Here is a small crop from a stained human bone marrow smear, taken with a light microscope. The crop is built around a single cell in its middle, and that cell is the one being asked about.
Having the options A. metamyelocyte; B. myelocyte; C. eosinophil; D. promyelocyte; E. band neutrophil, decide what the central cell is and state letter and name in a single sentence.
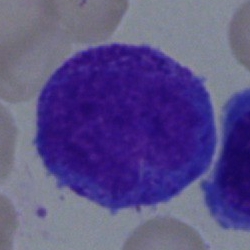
Since the cell in the middle is a promyelocyte, option D is correct.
